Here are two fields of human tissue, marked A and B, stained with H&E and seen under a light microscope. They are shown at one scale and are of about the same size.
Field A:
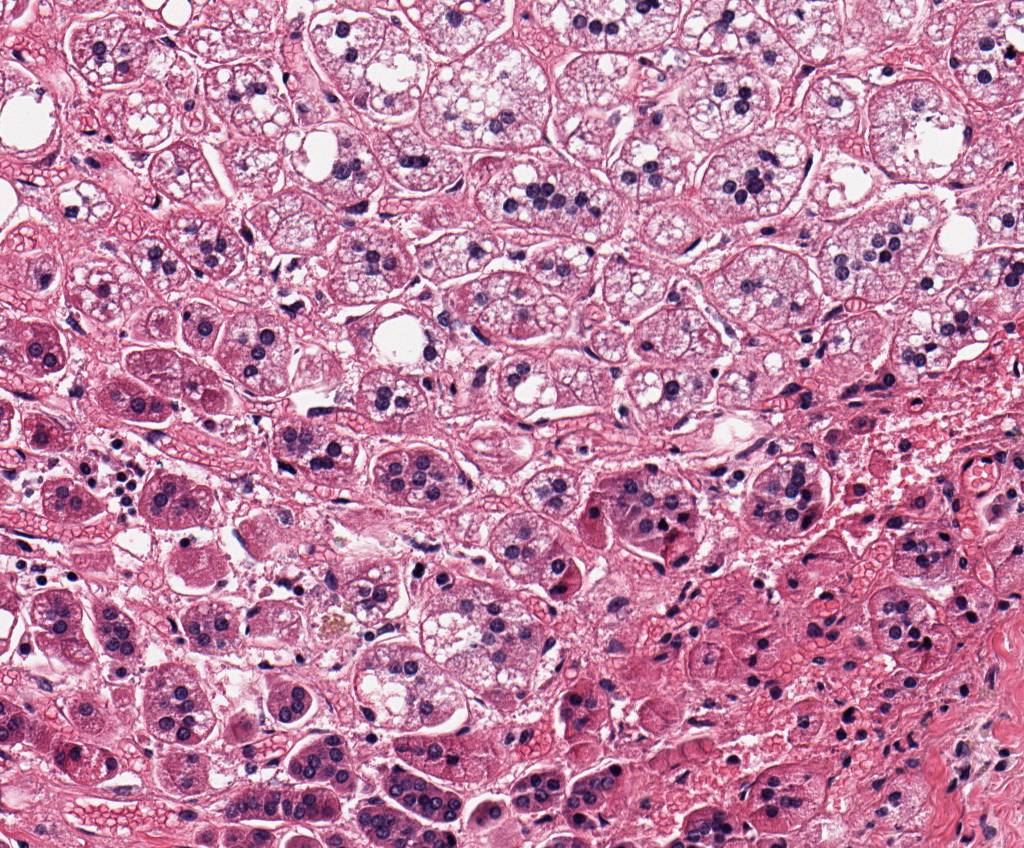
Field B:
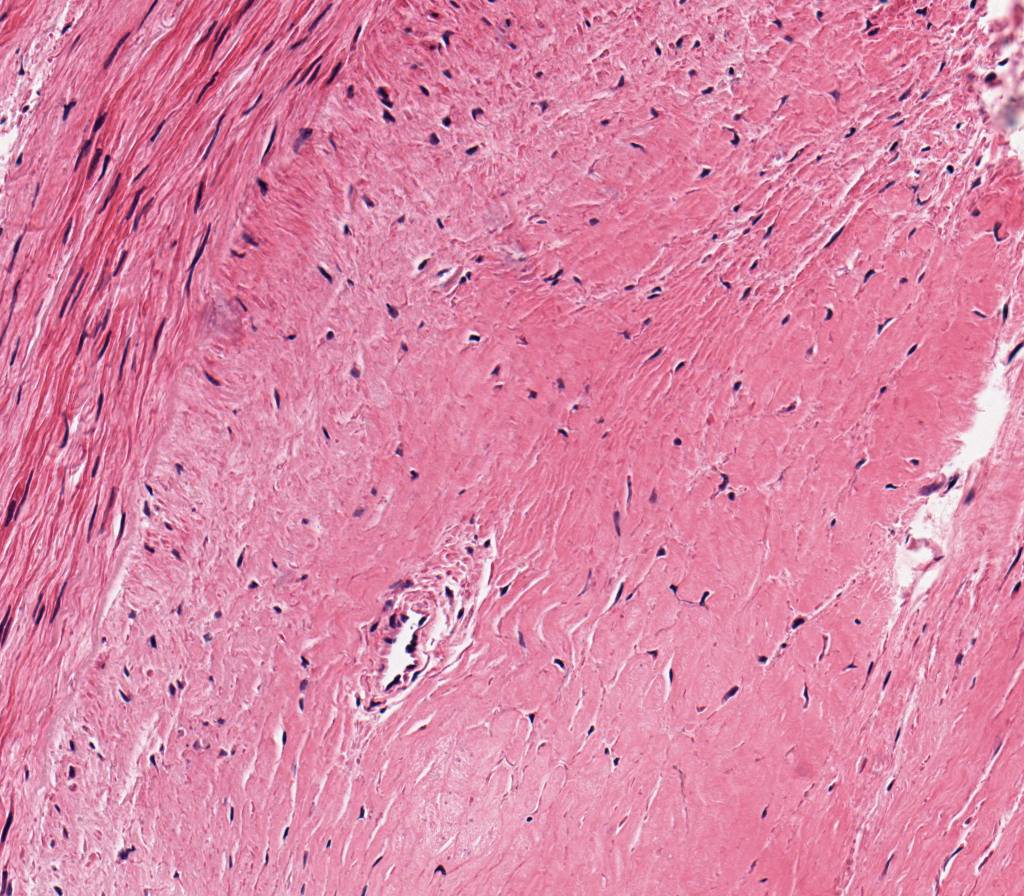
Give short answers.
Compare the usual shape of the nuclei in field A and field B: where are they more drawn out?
B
